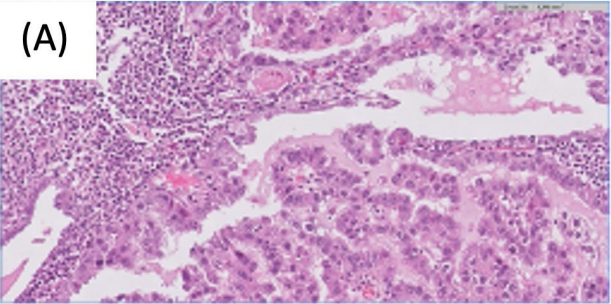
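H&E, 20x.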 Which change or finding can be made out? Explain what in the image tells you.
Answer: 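A dense sheet of small dark round nuclei fills the upper left. This infiltrate lies beside, not within, the tumour epithelium. That points to this answer: dense stromal immune infiltration.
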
